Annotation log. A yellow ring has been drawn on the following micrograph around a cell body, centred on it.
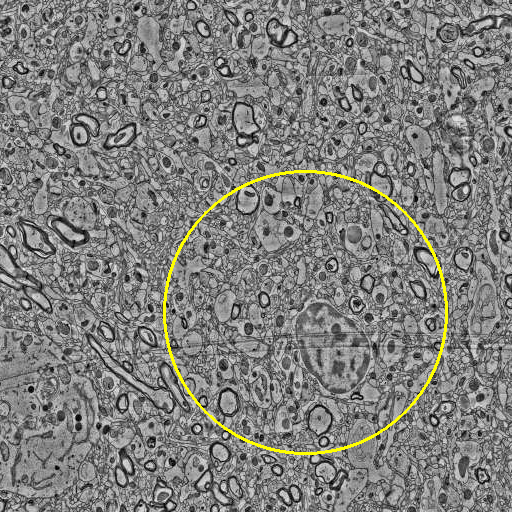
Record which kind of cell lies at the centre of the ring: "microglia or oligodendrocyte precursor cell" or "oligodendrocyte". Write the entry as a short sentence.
The cell the ring is centred on is a microglial cell or oligodendrocyte precursor cell.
